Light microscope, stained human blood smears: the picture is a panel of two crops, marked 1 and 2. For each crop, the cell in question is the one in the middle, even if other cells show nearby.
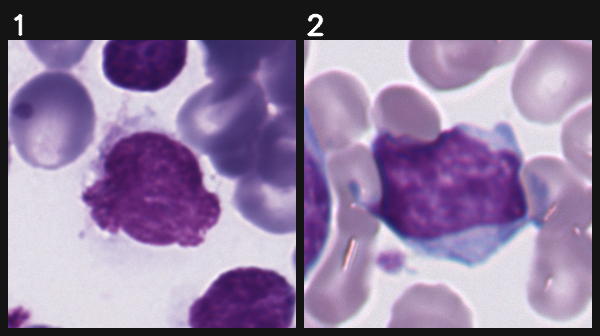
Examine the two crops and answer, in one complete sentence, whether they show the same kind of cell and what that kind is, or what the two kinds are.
No, crop 1 holds a smudge cell, and a myeloblast occupies crop 2.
